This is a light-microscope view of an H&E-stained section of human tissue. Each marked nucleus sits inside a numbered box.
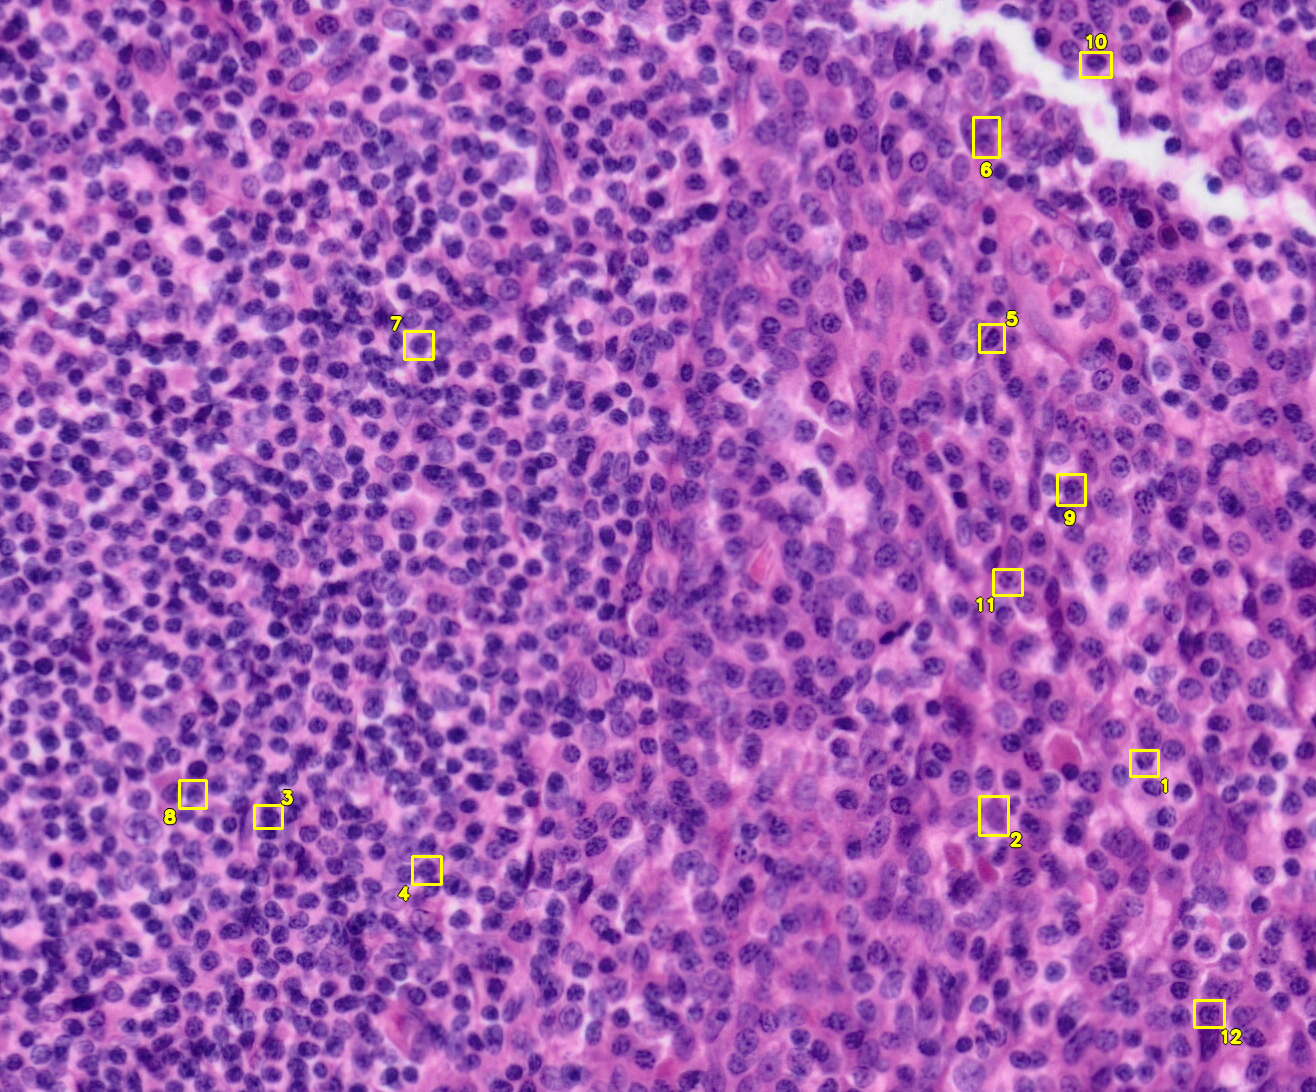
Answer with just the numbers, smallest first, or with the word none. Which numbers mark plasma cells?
1, 5, 9, 10, 11, 12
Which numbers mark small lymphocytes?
3, 4, 7, 8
